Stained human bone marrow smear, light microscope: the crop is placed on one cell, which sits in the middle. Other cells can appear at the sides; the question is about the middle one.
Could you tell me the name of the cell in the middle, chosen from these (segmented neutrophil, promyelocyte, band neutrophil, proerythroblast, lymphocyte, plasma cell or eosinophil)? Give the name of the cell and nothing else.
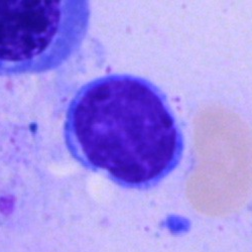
lymphocyte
